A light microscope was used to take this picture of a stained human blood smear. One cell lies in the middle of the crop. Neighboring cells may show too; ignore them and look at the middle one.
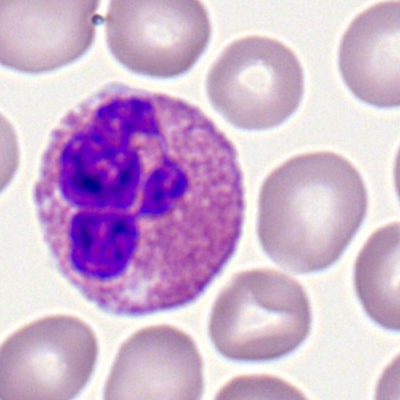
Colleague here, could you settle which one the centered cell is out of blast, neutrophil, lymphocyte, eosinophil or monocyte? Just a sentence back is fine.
Whatever else lies nearby, the middle cell is an eosinophil.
